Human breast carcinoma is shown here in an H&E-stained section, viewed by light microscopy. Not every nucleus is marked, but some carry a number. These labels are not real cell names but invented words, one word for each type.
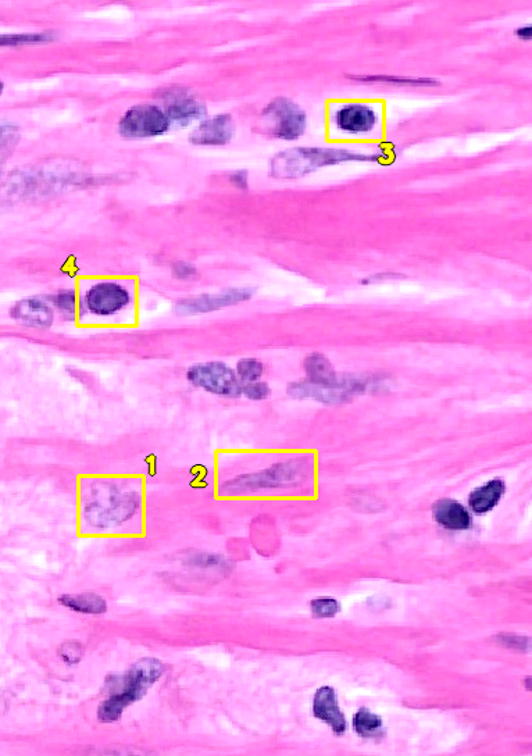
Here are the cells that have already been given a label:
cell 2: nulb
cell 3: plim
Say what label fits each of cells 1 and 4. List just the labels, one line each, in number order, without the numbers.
nulb
plim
